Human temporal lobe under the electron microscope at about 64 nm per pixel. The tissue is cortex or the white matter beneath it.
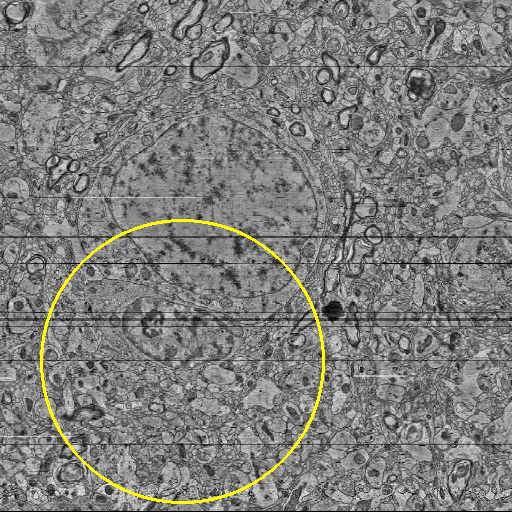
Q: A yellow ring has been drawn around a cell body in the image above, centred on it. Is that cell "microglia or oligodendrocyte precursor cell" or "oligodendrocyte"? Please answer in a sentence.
The ring surrounds the cell body of an oligodendrocyte.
